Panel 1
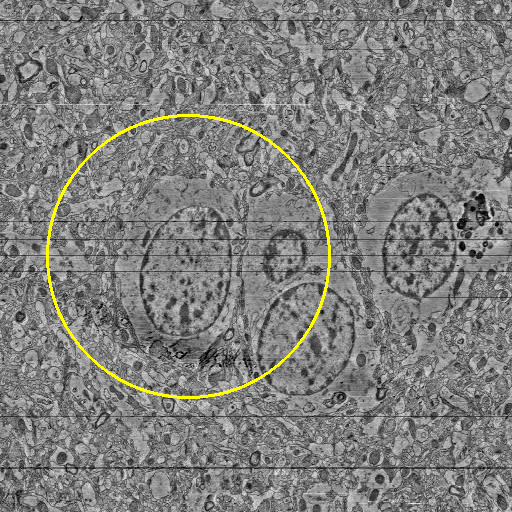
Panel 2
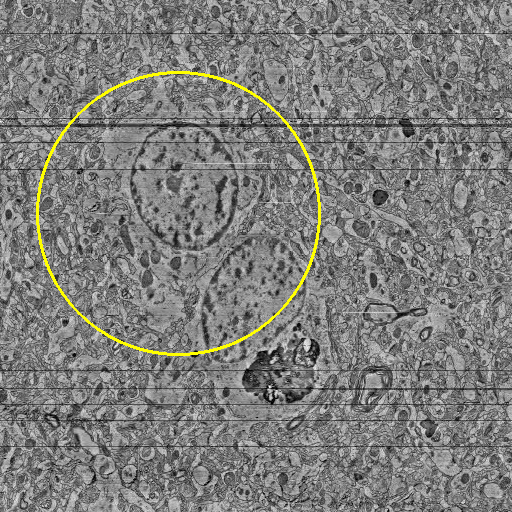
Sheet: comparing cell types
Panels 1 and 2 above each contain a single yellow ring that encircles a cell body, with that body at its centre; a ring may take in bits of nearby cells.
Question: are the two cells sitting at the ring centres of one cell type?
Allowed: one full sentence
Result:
Yes, the ring-centre cells in Panel 1 and Panel 2 are of one type.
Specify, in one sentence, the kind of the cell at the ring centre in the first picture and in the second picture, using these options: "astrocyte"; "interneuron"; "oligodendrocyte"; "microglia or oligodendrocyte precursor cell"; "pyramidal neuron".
The cell at the ring centre is an astrocyte in both pictures.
